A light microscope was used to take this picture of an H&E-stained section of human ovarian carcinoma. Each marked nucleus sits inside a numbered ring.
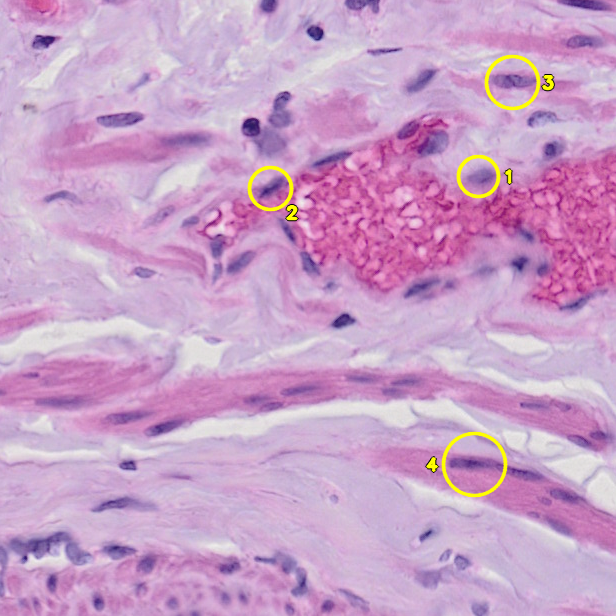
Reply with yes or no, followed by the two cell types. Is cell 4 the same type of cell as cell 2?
No, cell 4 is a smooth muscle cell and cell 2 is an endothelial cell.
